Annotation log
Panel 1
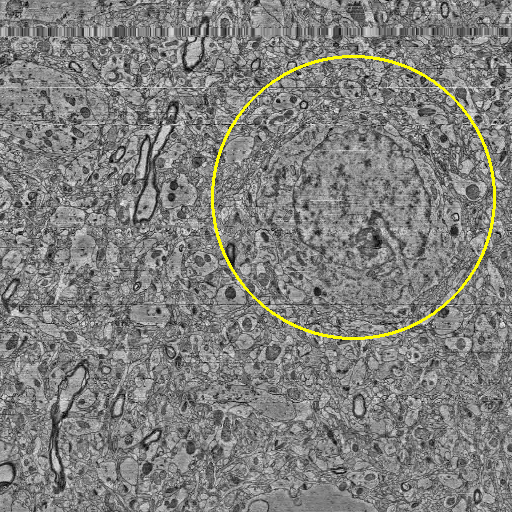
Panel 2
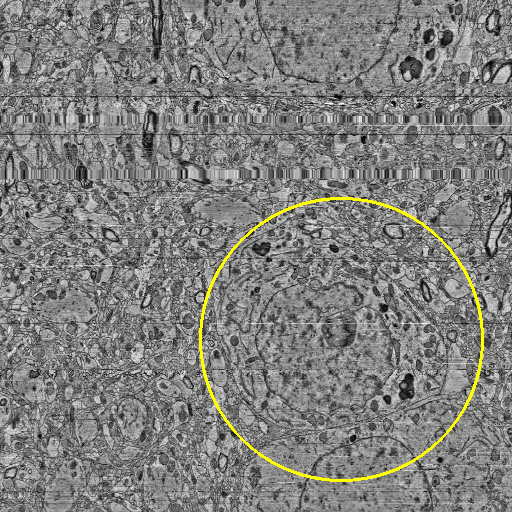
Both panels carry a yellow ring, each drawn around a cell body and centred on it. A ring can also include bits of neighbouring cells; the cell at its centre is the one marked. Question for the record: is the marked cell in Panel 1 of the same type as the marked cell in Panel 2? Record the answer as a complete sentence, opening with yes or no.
Yes, the marked cells in Panel 1 and Panel 2 are of the same type.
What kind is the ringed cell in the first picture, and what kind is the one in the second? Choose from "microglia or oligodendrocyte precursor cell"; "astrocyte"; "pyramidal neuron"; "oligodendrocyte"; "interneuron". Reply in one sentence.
In both pictures the ring is centred on an interneuron.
